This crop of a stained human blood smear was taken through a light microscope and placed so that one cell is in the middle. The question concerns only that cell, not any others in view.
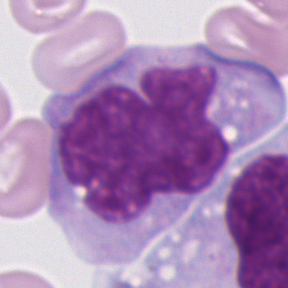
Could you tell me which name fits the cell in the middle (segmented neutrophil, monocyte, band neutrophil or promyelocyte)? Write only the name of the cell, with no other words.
monocyte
